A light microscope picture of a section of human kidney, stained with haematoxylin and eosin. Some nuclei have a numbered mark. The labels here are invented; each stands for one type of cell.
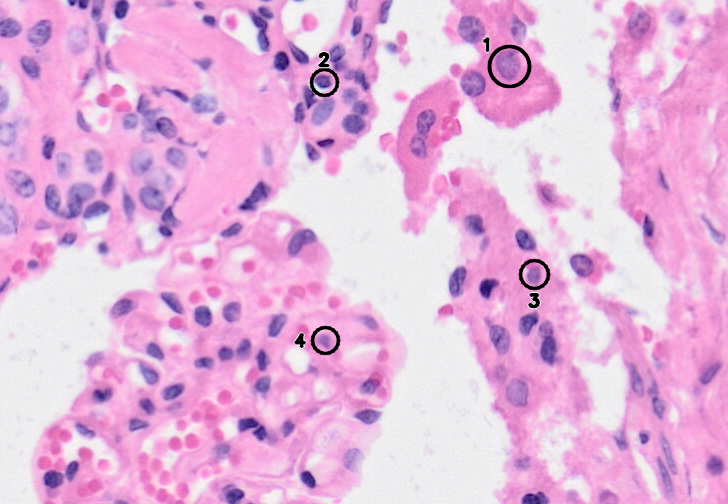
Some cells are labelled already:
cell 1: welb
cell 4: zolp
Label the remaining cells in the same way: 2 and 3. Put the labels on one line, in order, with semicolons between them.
zolp; zolp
